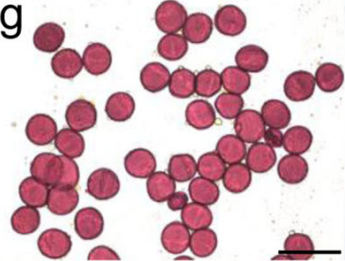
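These are pollen grains spread on a slide. The grains lie scattered singly and in loose clusters on a clear background.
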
